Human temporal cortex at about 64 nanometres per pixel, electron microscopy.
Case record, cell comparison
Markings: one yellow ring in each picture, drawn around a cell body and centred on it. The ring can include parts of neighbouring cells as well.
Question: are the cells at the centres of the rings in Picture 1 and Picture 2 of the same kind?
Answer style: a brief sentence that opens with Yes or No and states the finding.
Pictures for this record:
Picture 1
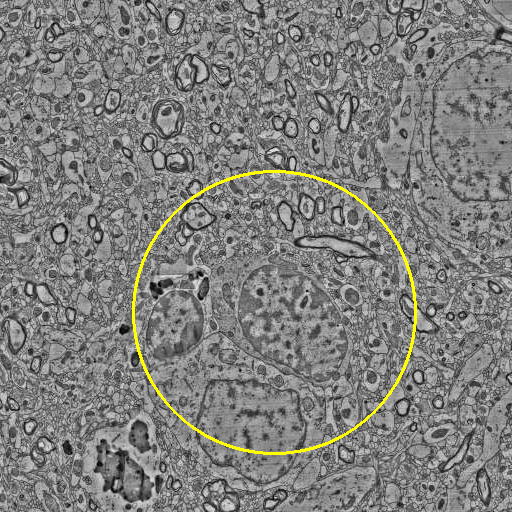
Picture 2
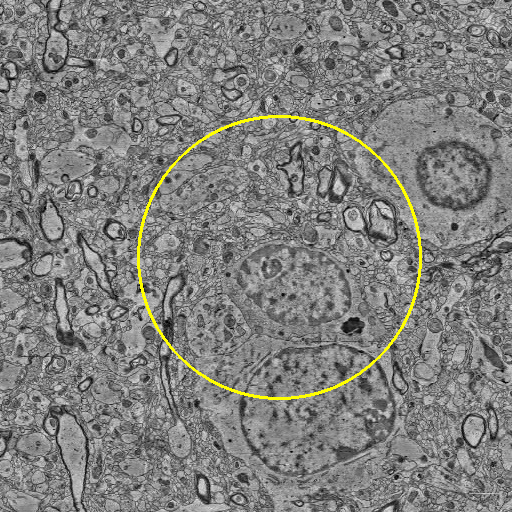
Yes, the cells in Picture 1 and Picture 2 are of the same kind.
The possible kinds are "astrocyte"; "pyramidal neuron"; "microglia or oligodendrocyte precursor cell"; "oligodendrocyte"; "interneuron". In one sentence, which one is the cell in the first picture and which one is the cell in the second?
The ring centre holds an oligodendrocyte in each of the two pictures.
